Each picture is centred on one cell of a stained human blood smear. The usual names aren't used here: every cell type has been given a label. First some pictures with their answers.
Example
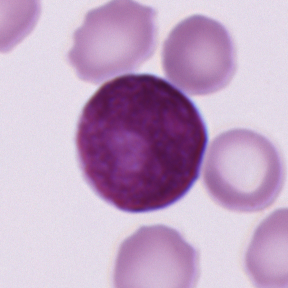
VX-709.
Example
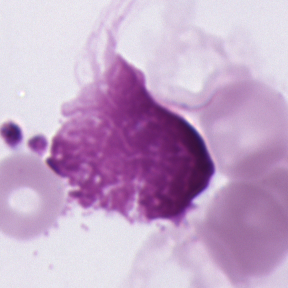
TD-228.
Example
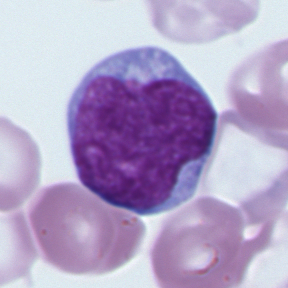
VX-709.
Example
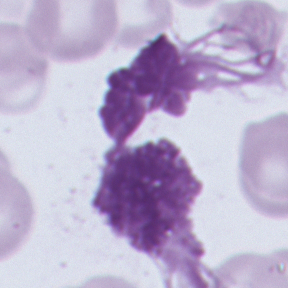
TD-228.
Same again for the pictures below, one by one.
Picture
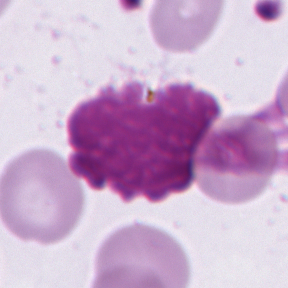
TD-228.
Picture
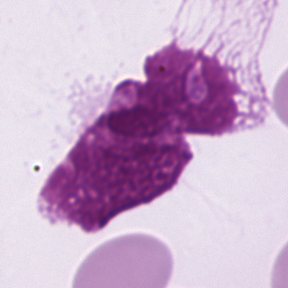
TD-228.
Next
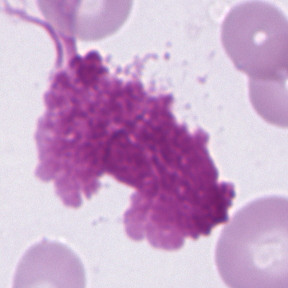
TD-228.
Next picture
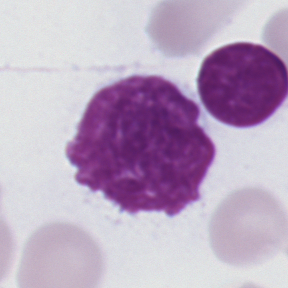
VX-709.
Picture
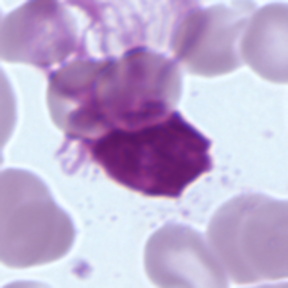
TD-228.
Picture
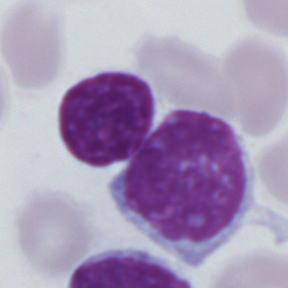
VX-709.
